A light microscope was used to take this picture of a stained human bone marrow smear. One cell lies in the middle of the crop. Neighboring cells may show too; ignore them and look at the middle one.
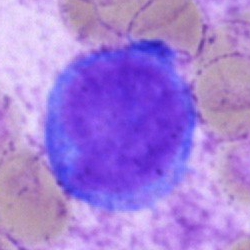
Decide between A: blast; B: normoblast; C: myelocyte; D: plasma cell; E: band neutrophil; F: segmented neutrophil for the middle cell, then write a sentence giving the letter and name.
The correct response is option A, naming the cell in the middle as a blast.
